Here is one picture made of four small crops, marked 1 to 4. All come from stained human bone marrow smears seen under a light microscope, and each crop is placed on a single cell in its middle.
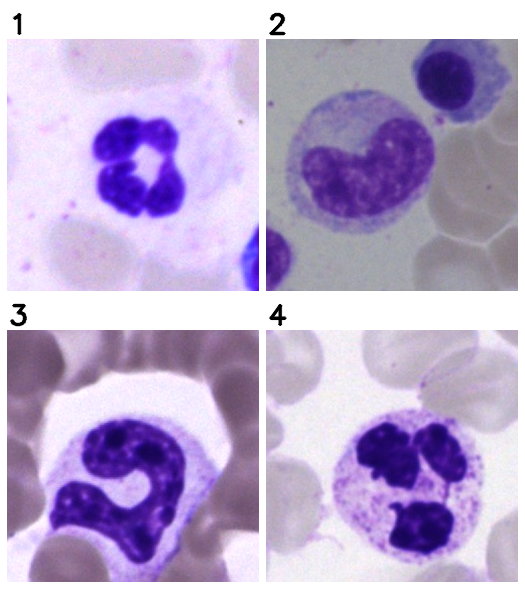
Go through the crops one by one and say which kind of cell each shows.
1: segmented neutrophil
2: band neutrophil
3: band neutrophil
4: segmented neutrophil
